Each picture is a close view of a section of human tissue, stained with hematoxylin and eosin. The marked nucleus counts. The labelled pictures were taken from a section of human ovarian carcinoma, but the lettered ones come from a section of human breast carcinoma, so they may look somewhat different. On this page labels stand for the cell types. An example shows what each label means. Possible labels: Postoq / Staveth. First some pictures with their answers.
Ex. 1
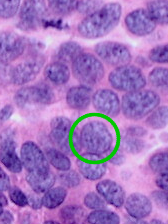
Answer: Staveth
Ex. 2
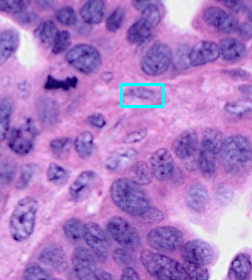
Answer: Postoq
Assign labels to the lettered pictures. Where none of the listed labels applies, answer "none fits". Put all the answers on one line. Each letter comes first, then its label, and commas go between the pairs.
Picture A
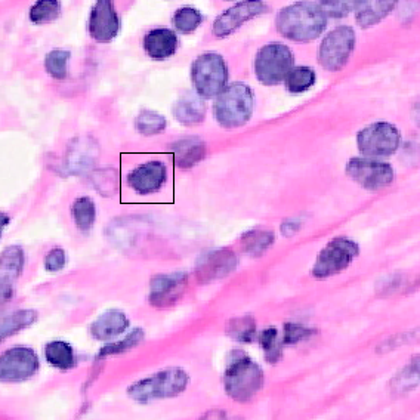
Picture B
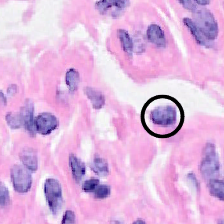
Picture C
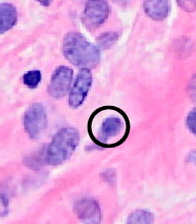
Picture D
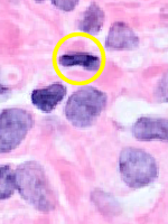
A none fits, B none fits, C none fits, D none fits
